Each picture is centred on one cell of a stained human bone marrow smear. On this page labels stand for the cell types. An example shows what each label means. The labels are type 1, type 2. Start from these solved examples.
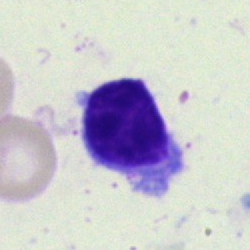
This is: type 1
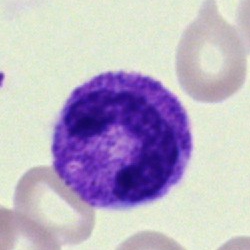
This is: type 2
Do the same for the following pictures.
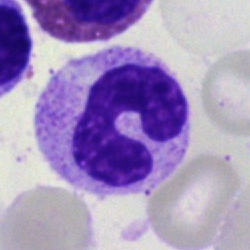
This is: type 2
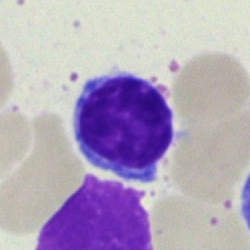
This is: type 1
